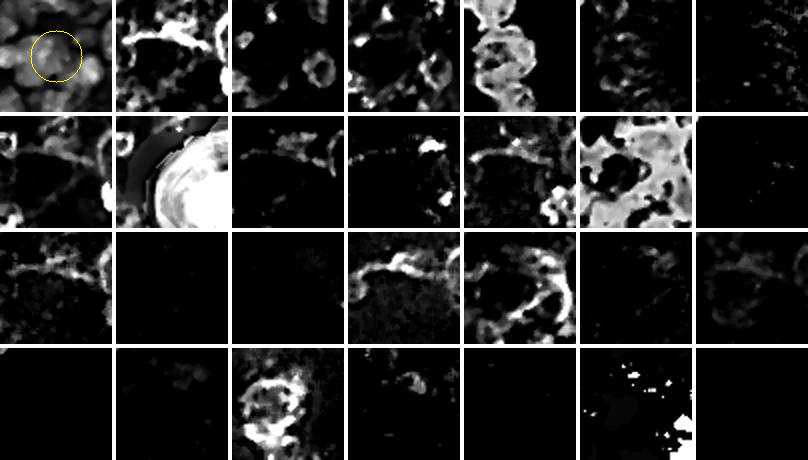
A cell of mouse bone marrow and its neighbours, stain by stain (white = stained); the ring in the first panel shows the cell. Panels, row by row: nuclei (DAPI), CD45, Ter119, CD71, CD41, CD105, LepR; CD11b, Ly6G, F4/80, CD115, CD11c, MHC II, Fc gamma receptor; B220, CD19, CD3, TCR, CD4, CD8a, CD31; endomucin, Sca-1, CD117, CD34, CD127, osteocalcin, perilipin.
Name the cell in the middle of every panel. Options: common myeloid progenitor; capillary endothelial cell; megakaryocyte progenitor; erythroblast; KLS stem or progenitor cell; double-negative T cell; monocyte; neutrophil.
megakaryocyte progenitor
